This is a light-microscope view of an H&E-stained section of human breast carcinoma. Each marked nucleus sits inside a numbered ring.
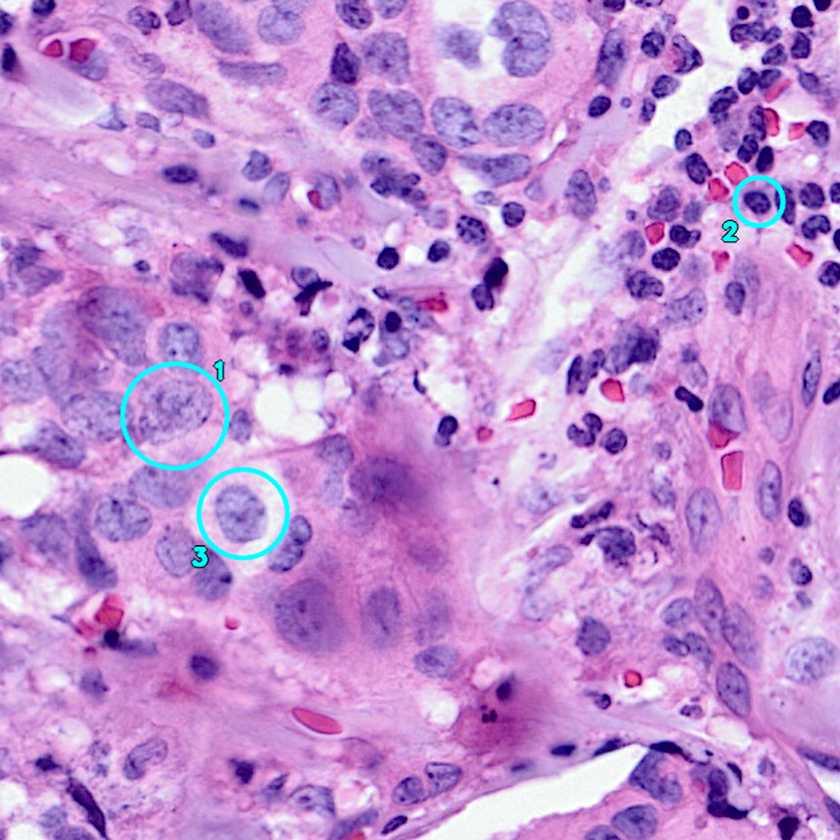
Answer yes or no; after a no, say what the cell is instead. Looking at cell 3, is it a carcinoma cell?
Yes.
